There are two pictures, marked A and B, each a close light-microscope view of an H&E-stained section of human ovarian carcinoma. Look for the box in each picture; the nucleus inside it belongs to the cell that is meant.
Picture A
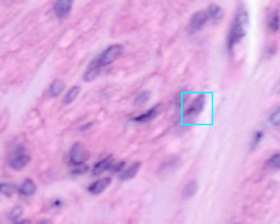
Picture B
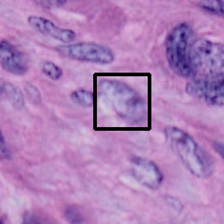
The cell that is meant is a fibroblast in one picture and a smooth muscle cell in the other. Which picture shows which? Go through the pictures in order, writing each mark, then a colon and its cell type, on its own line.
A: smooth muscle cell
B: fibroblast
